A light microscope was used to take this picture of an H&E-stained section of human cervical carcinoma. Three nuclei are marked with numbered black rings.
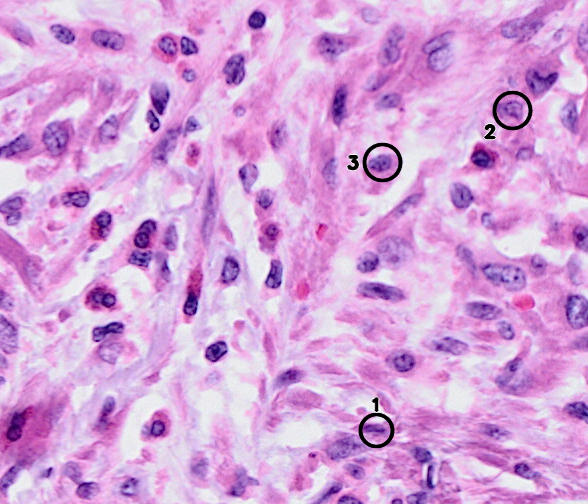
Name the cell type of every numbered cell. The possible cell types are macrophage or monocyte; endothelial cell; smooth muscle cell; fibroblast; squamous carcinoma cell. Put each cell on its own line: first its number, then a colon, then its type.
1: fibroblast
2: macrophage or monocyte
3: macrophage or monocyte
